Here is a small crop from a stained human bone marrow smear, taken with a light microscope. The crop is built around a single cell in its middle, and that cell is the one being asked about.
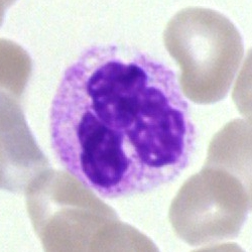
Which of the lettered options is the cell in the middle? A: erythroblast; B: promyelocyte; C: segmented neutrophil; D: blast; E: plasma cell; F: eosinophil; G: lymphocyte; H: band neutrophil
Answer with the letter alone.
C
